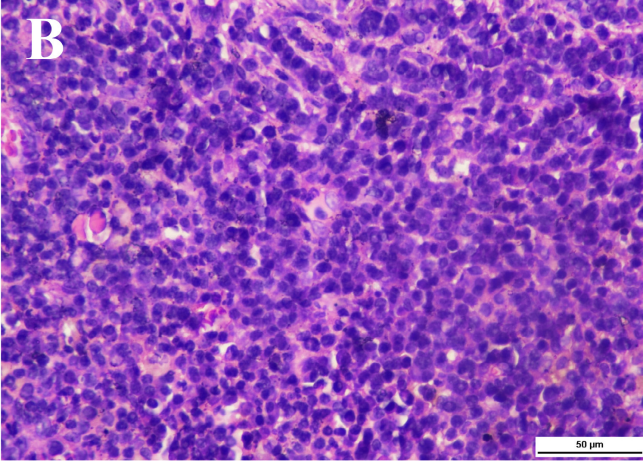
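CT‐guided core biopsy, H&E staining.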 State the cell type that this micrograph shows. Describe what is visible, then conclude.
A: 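Sheets of densely packed small round cells. Round, dark purple nuclei with scant cytoplasm. No epithelial lining is seen. So: lymphocytes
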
